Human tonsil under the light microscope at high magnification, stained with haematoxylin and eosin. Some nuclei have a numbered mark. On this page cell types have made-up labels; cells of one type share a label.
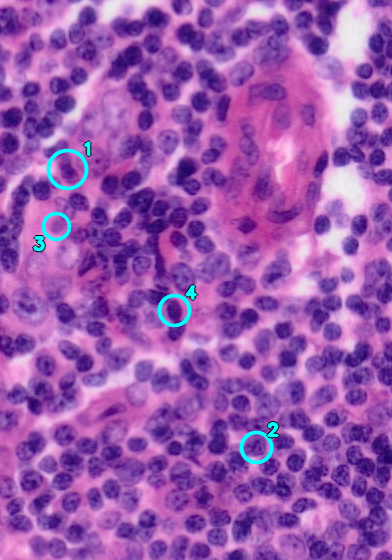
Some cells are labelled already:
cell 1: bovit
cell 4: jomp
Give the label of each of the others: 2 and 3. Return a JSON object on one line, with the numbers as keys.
{"2": "jomp", "3": "bovit"}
